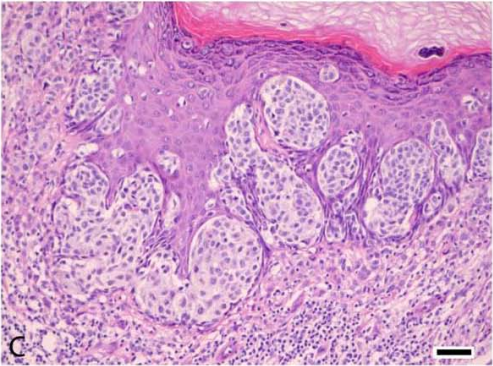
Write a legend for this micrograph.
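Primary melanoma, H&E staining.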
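The nests lie along the dermal-epidermal junction and in the upper dermis, separated by thin strands of stroma. The tumour cells have pale cytoplasm and round nuclei, and a dense band of small dark lymphocytes lies in the dermis beneath the nests.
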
